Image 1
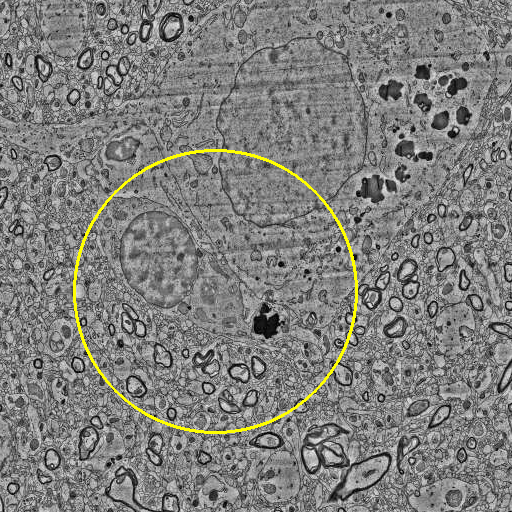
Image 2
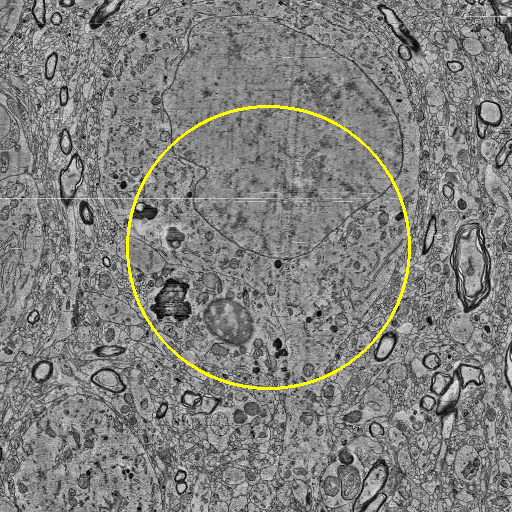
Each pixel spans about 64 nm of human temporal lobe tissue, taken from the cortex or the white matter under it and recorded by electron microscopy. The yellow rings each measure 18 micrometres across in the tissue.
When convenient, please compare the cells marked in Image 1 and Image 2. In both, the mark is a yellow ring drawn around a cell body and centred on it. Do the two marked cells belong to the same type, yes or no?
no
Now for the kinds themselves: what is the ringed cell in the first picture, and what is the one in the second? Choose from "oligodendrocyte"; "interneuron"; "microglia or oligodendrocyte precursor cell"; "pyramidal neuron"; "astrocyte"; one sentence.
Here the first cell is an oligodendrocyte and the second cell is a pyramidal neuron.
